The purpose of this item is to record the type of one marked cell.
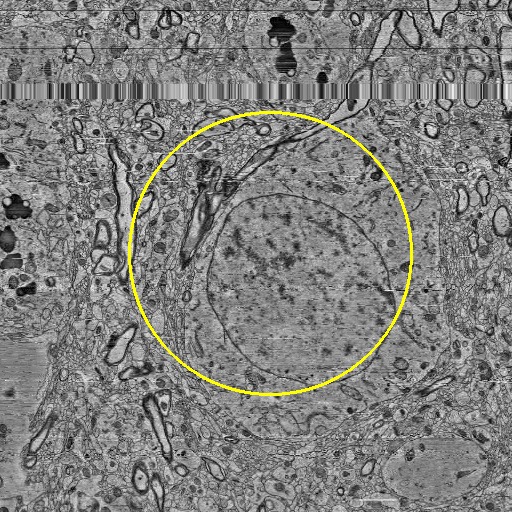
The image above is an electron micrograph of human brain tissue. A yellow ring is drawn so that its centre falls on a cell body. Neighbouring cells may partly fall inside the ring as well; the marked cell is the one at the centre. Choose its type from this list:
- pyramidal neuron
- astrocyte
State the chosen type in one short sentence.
What the ring marks here is a pyramidal neuron.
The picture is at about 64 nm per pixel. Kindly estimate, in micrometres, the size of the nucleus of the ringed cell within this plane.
In this plane the nucleus spans approximately 14 by 11 micrometers.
